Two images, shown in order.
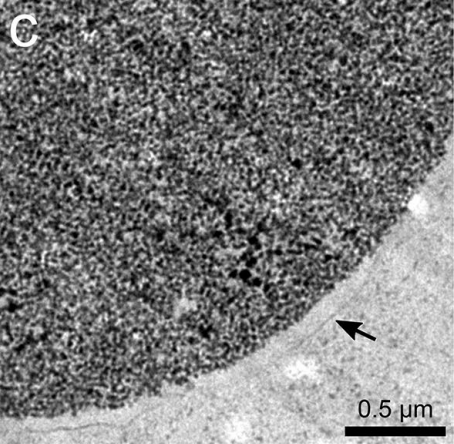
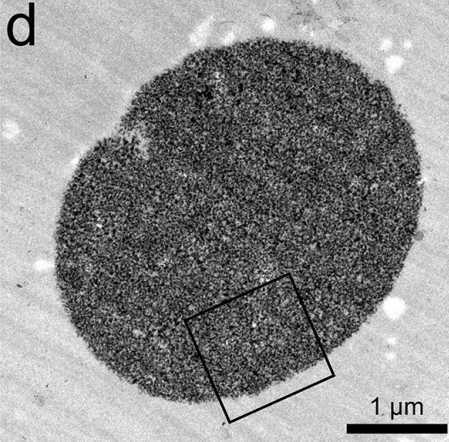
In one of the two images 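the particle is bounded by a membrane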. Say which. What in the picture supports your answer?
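Second image: the particle's edge is ragged and granular with no bounding line. So: the first image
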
